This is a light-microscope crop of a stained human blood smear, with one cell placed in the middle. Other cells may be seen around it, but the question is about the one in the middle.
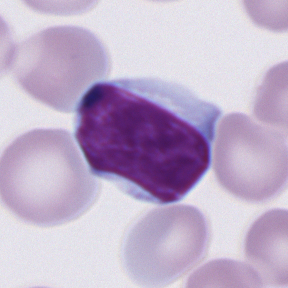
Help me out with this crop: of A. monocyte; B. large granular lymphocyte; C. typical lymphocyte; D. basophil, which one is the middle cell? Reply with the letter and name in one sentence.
The cell centered in the crop is a typical lymphocyte, making option C the correct pick.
